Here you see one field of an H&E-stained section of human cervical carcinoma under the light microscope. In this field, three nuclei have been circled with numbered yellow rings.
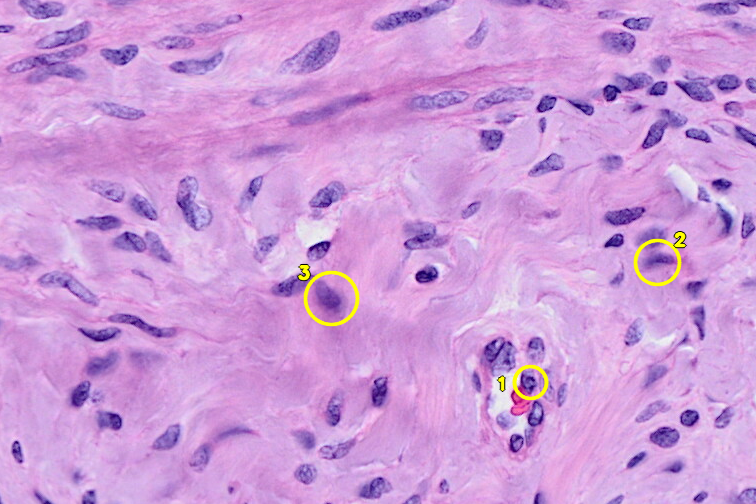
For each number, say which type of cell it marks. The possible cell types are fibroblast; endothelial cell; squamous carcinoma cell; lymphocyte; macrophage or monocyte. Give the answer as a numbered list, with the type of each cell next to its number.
1. endothelial cell
2. fibroblast
3. fibroblast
